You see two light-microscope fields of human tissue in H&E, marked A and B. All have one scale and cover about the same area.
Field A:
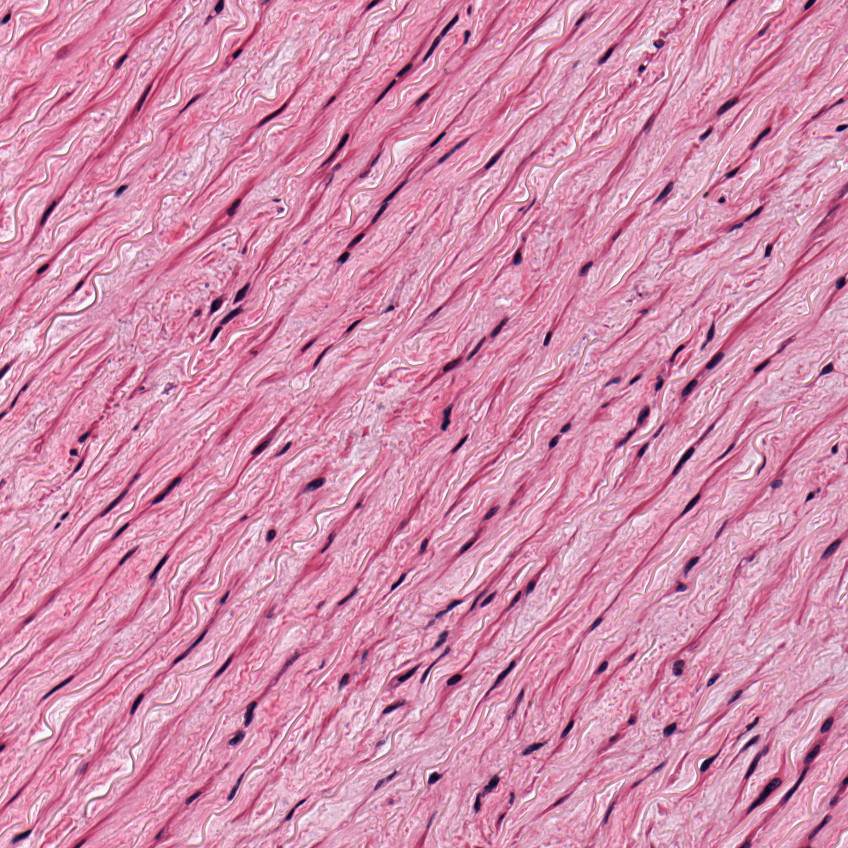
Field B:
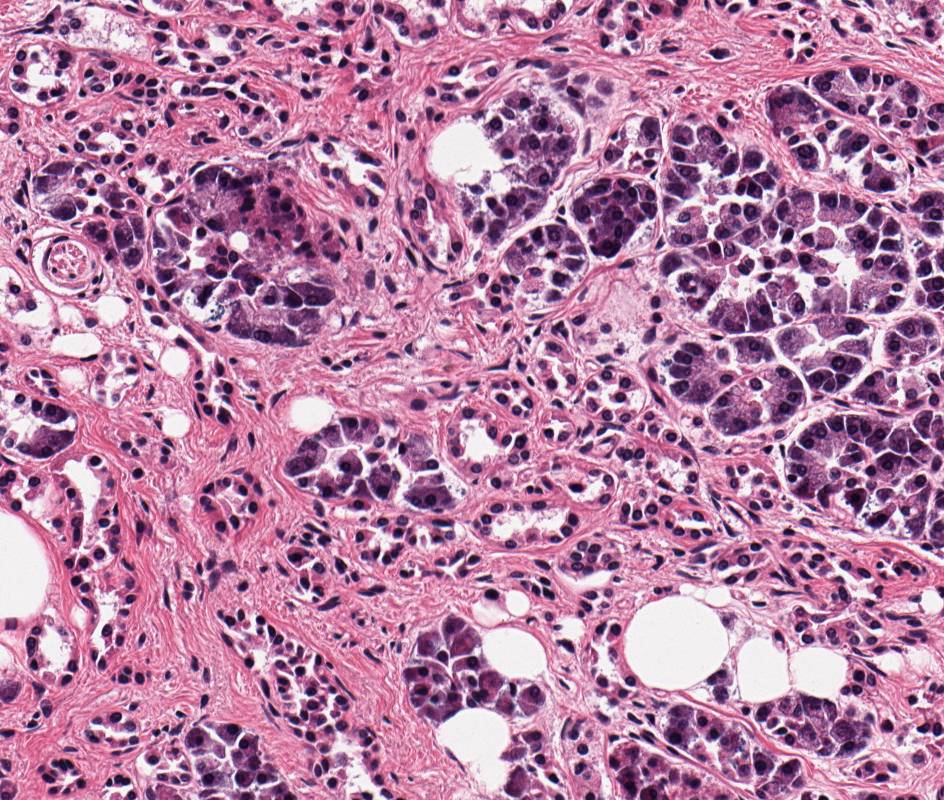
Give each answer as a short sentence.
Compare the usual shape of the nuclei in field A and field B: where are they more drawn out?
It is field A whose nuclei are the more elongated.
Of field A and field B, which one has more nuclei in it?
There are more nuclei in field B.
